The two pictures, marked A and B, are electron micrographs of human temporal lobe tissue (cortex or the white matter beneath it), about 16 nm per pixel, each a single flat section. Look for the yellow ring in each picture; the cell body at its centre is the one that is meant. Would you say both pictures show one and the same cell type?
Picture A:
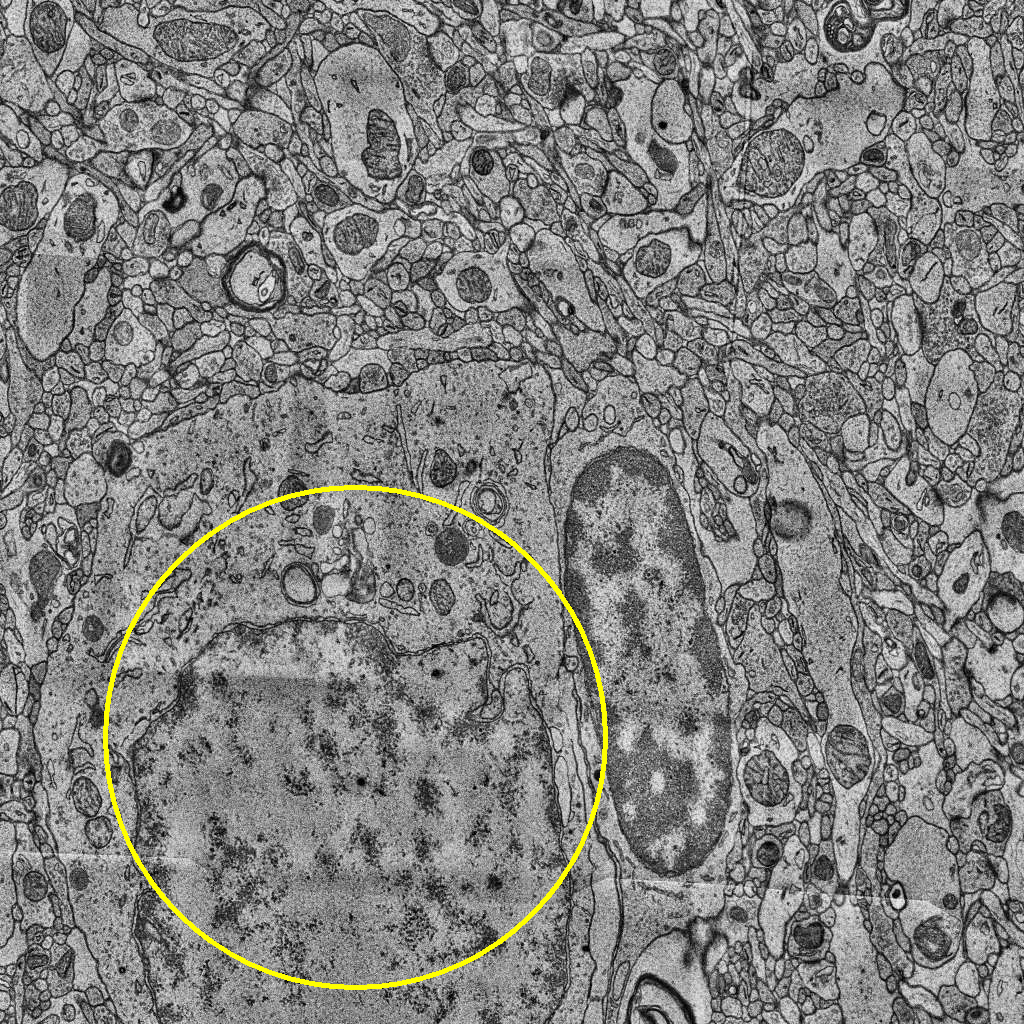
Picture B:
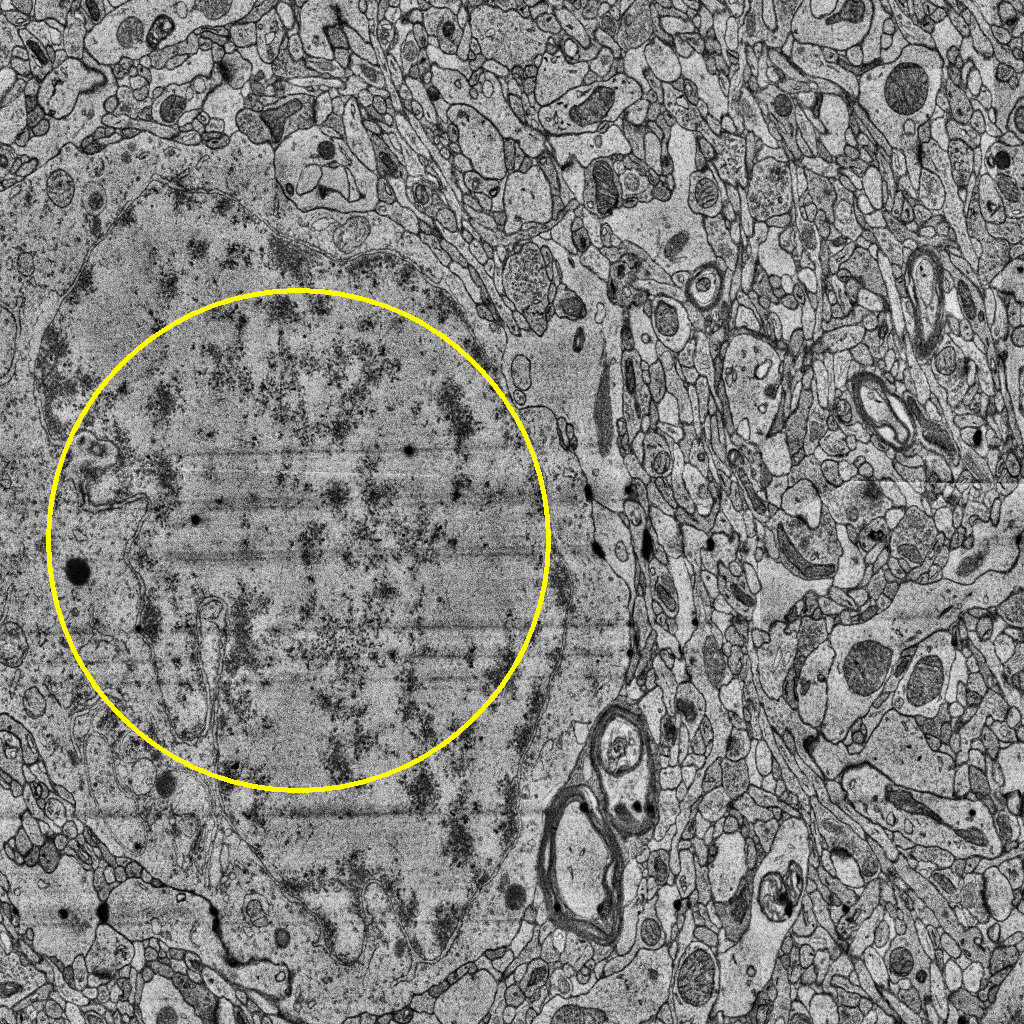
Yes; the cells in both pictures are interneurons.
